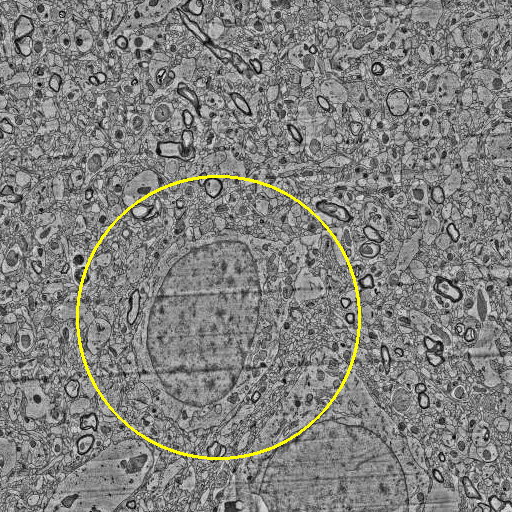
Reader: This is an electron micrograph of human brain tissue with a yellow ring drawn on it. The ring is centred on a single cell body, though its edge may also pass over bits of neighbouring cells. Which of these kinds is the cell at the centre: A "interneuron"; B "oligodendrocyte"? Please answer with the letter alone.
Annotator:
A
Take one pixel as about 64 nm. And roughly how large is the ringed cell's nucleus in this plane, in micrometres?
About 11 by 7 micrometres in this plane; clearly longer than it is wide.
